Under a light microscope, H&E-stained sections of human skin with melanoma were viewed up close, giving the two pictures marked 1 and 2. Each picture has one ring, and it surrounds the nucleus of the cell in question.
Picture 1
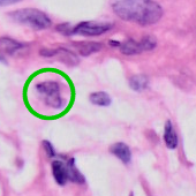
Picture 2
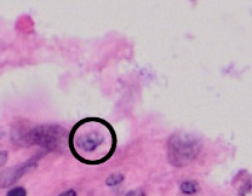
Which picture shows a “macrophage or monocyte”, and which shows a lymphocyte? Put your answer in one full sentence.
In picture 1 the cell is a “macrophage or monocyte”; in picture 2, a lymphocyte.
